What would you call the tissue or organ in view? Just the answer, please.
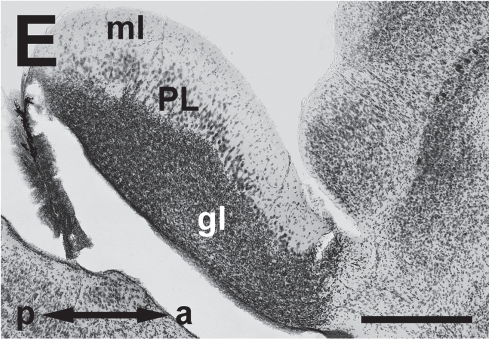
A: Cerebellum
